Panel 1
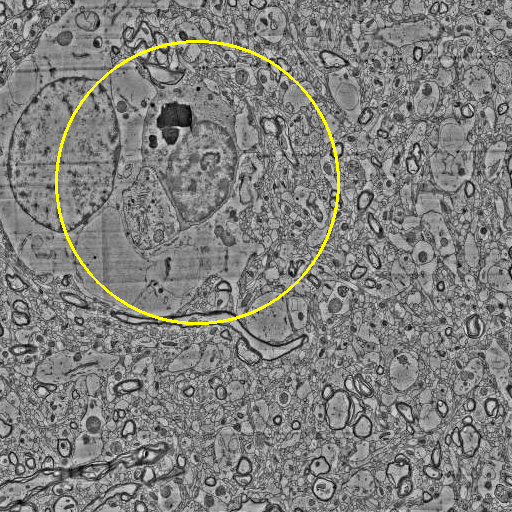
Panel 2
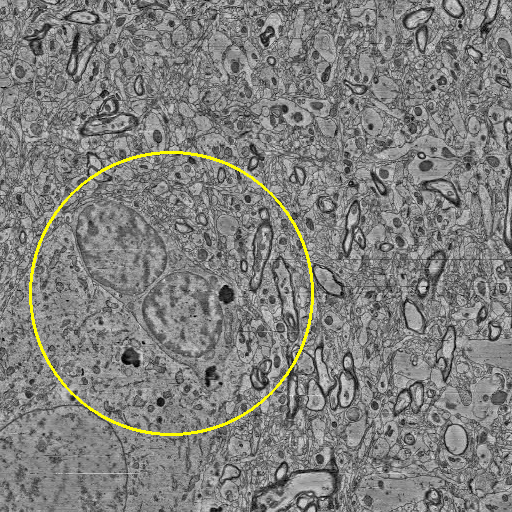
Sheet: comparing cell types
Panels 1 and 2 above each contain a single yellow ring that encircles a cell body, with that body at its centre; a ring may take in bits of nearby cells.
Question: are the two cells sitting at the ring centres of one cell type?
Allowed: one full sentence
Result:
Yes, the ring-centre cells in Panel 1 and Panel 2 are of one type.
